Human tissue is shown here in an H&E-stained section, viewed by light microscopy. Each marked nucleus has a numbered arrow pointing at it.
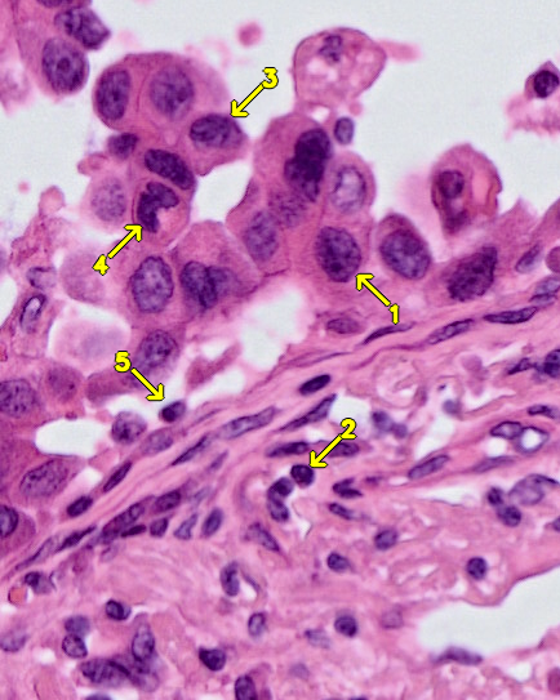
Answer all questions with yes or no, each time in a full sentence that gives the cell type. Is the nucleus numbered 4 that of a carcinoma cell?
Yes, to put it simply, cell number 4 is a carcinoma cell.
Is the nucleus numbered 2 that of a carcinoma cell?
No, the cell tagged 2 is a lymphocyte, and not a carcinoma cell.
